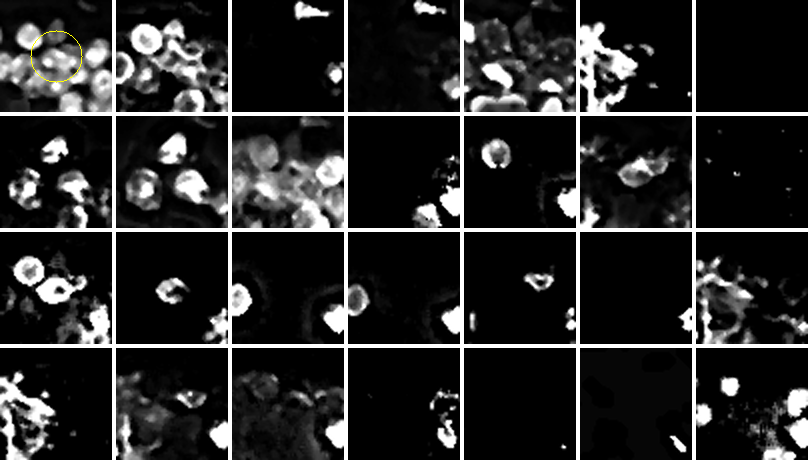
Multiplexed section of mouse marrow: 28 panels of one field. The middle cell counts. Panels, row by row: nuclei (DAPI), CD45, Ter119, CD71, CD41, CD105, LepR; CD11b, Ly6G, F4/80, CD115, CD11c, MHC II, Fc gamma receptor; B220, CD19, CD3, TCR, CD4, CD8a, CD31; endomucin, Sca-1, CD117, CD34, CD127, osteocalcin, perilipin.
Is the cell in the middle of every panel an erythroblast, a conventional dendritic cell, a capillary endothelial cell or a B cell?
It is a B cell.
